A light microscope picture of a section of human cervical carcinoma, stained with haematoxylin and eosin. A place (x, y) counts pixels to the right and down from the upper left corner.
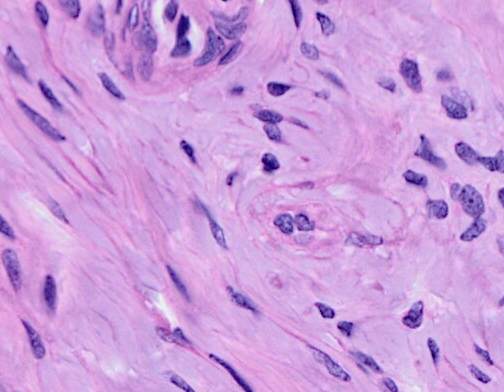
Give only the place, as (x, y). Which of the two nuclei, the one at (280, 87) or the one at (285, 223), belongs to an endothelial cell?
(285, 223)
